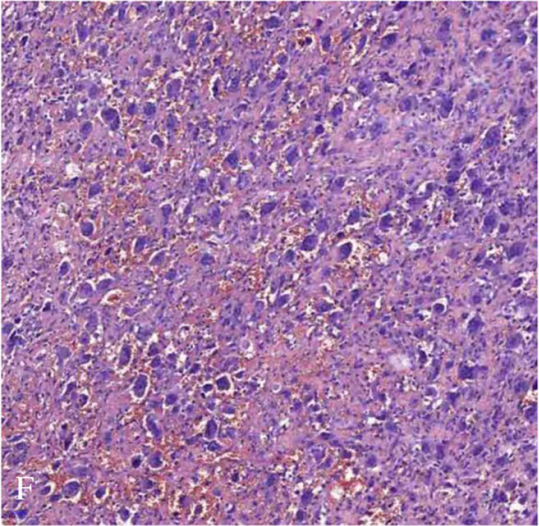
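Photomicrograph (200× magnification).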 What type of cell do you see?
Osteoclast-like giant cells.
